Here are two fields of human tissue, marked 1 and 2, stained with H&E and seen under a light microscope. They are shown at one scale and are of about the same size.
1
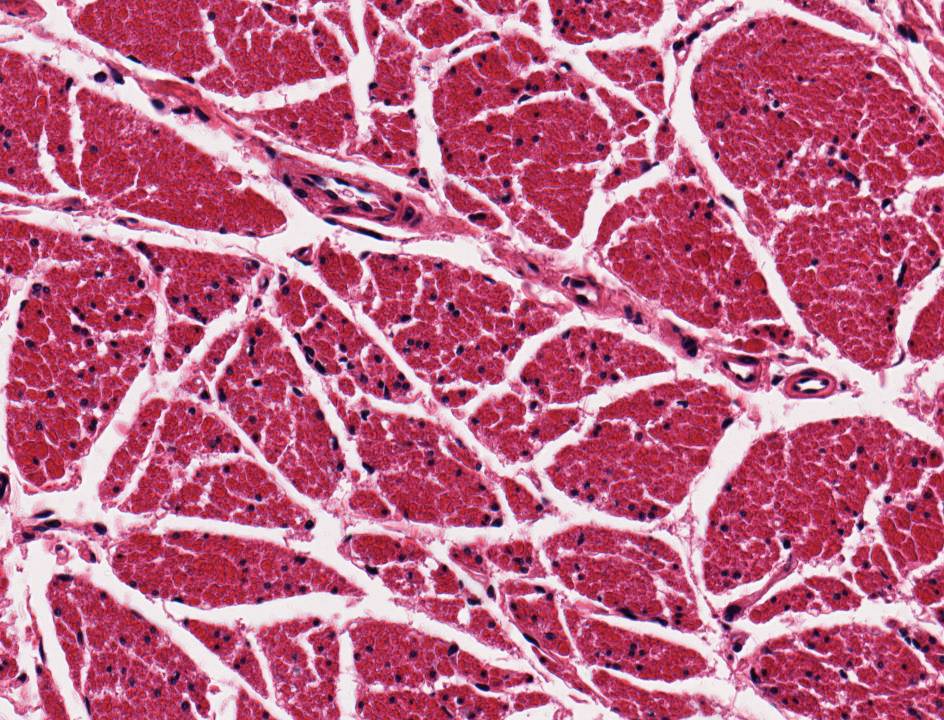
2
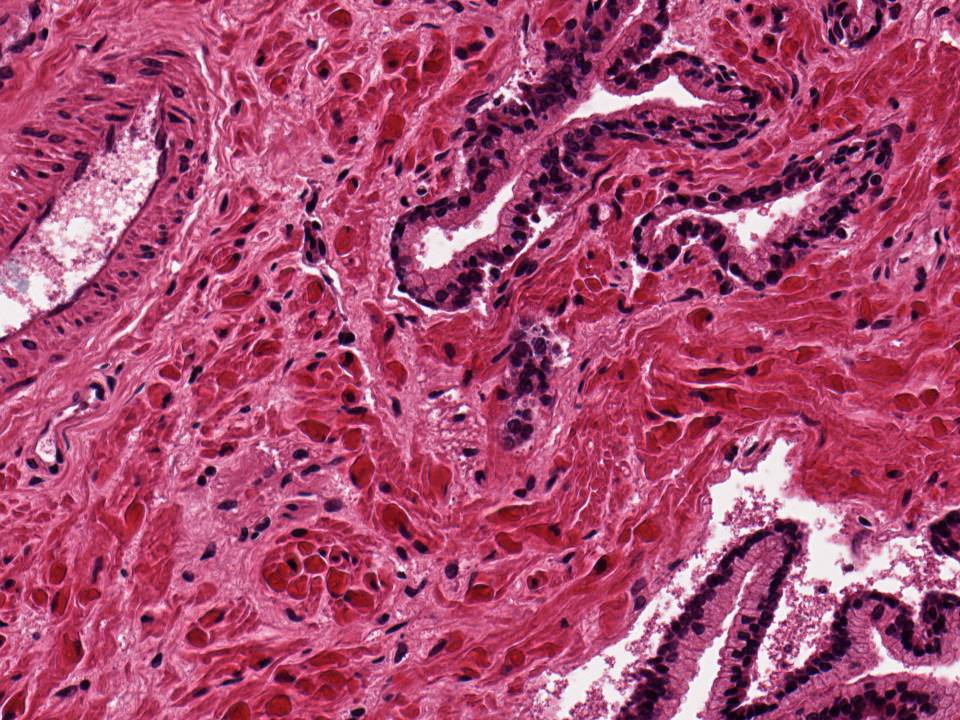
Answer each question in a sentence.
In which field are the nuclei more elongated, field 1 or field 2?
It is field 2 whose nuclei are the more elongated.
